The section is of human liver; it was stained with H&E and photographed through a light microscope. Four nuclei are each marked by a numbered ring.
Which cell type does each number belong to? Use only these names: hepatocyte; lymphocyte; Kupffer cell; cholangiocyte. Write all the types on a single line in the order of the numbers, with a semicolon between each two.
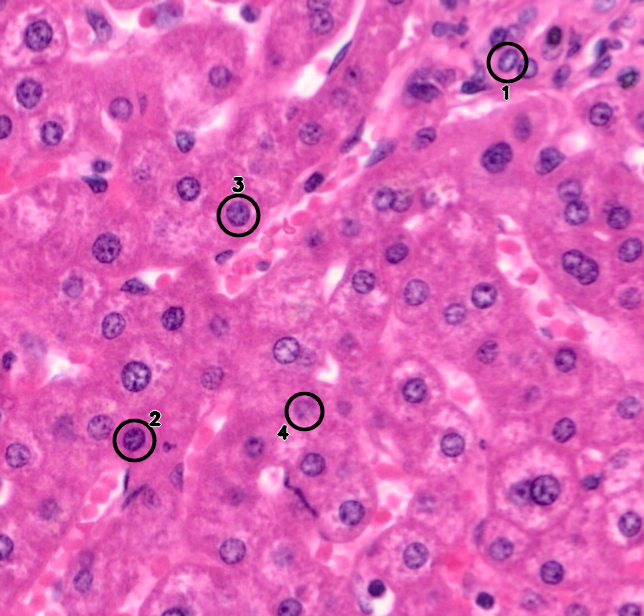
cholangiocyte; hepatocyte; hepatocyte; hepatocyte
